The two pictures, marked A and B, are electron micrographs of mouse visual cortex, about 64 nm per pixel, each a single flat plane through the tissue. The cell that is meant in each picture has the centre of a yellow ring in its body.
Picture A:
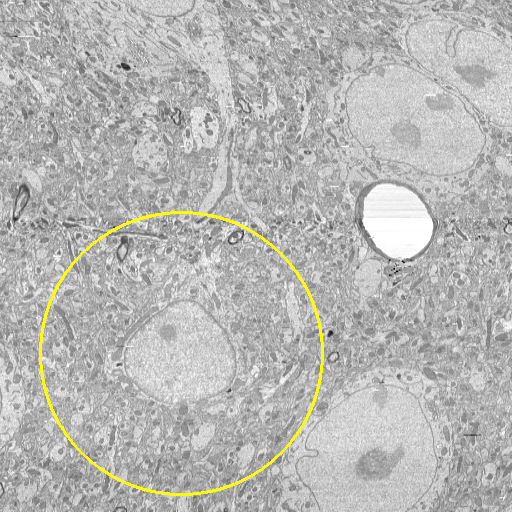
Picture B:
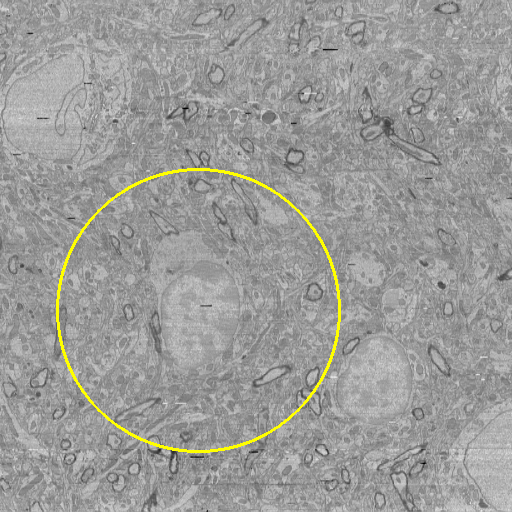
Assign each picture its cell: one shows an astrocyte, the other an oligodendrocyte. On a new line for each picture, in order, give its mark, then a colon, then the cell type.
A: astrocyte
B: oligodendrocyte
